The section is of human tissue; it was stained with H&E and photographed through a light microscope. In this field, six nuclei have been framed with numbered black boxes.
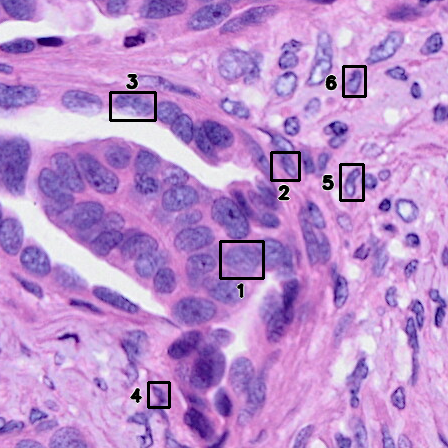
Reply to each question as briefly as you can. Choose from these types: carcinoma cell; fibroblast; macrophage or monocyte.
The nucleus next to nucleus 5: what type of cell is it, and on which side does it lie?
a macrophage or monocyte; to the right of nucleus 5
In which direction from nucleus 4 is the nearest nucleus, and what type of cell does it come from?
a fibroblast; below nucleus 4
